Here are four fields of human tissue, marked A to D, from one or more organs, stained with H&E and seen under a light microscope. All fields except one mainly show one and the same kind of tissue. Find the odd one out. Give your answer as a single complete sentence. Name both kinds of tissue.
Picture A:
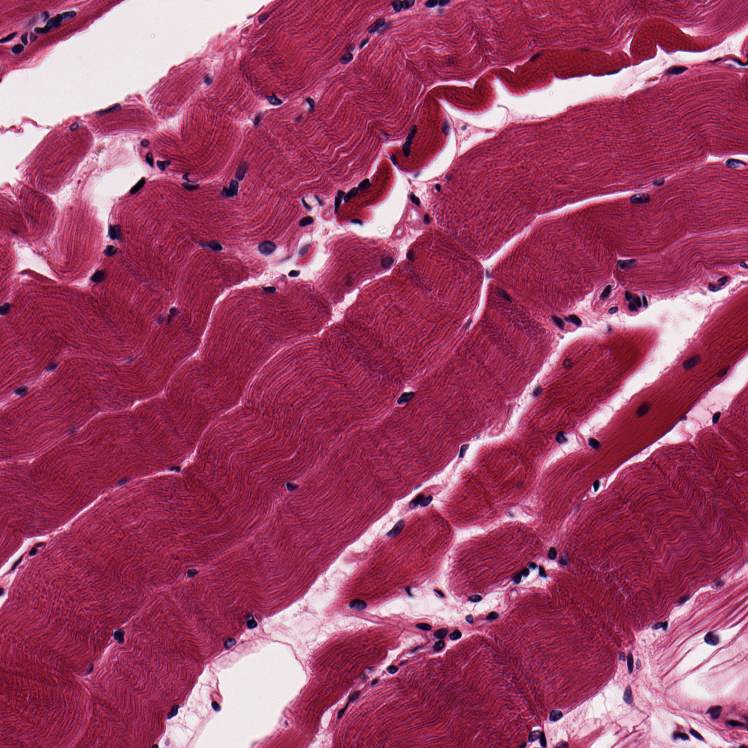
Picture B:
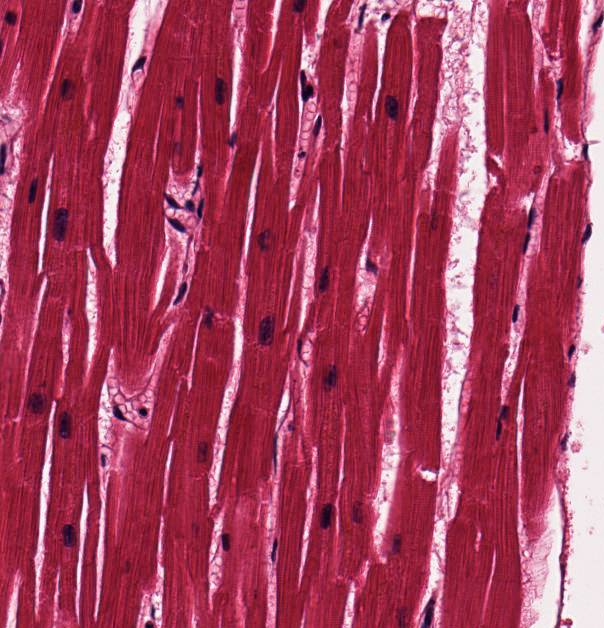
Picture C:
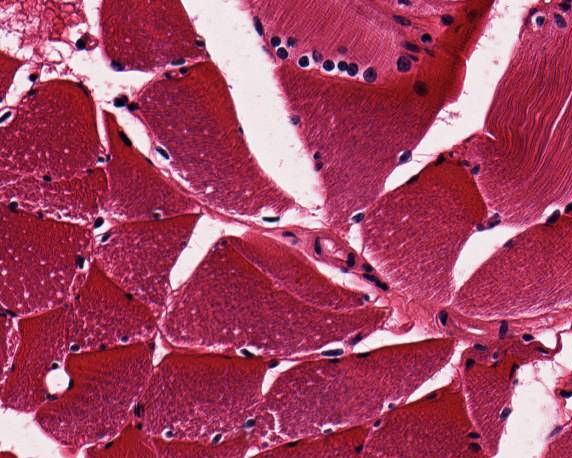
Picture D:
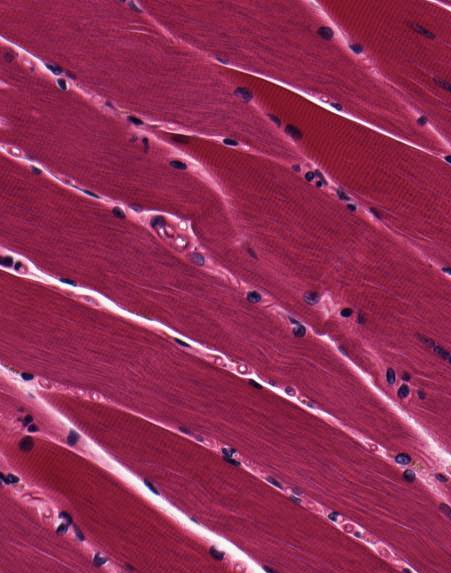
Unlike the rest, which mainly show skeletal muscle, picture B mainly shows cardiac muscle.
